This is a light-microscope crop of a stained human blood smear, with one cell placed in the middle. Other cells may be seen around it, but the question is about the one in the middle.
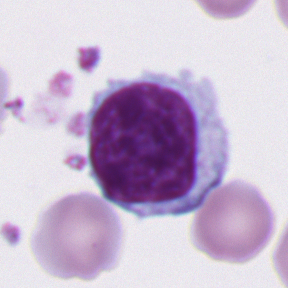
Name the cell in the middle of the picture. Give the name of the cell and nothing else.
typical lymphocyte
